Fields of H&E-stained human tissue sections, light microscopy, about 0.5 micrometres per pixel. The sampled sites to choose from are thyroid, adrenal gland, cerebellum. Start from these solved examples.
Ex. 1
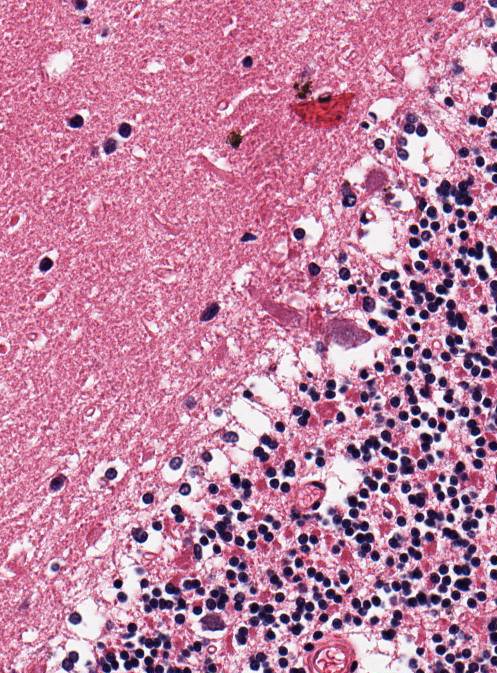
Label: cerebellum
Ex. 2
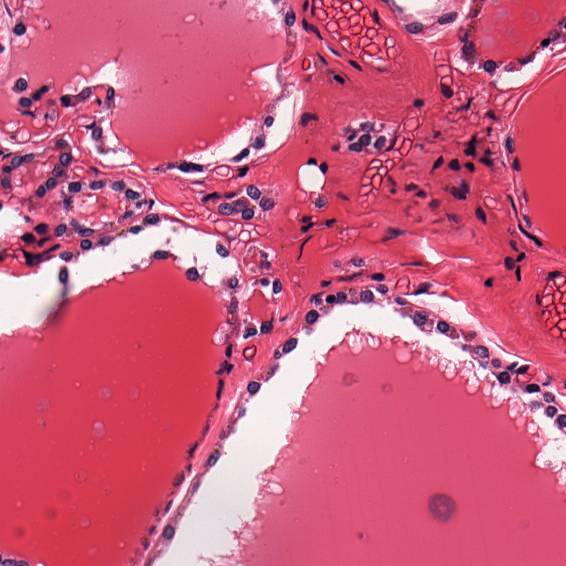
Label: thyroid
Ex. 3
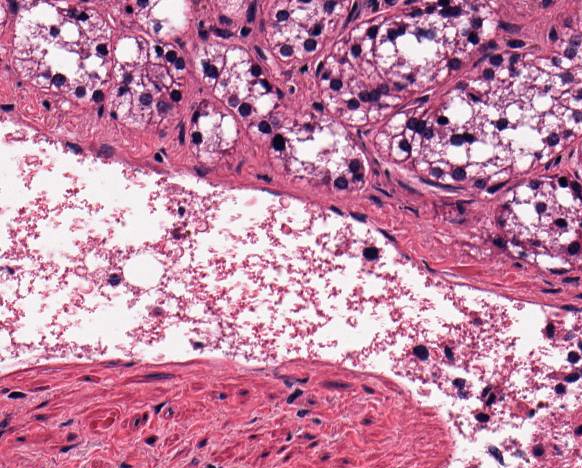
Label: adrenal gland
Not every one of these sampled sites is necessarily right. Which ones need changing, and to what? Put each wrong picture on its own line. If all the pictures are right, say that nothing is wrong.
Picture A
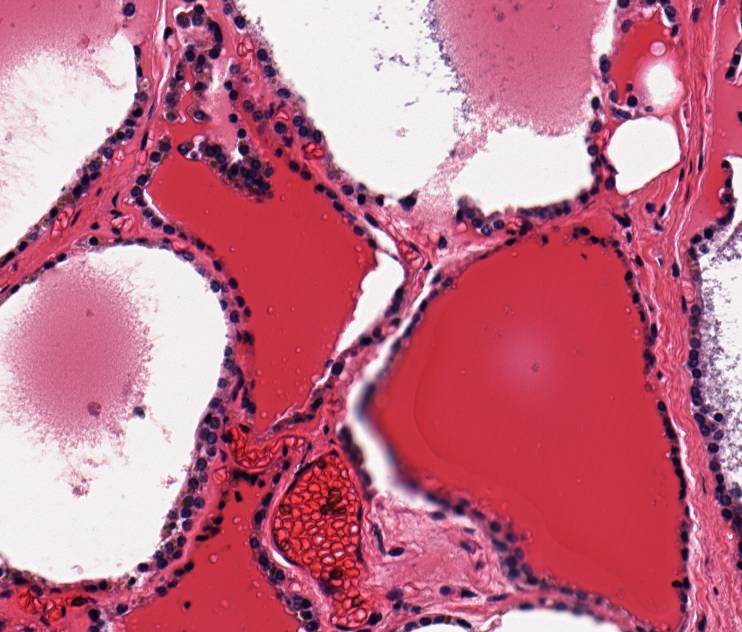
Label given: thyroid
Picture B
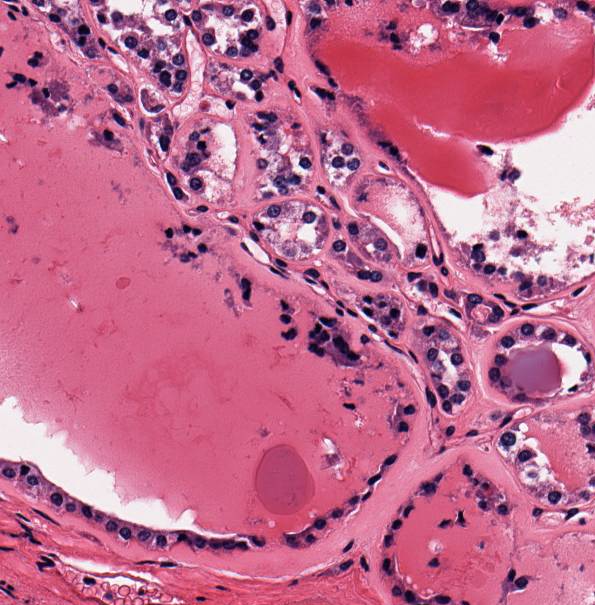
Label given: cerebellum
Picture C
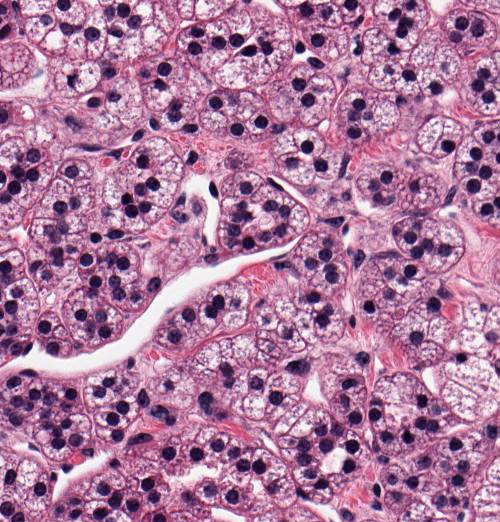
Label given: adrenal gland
B is labelled cerebellum; correct label: thyroid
